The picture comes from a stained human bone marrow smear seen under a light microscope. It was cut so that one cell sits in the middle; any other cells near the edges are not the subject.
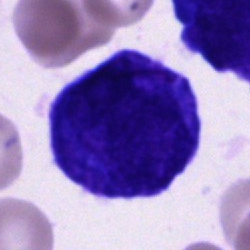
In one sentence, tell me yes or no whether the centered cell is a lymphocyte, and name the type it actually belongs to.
No, the cell at the centre of the crop is a blast and not a lymphocyte.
